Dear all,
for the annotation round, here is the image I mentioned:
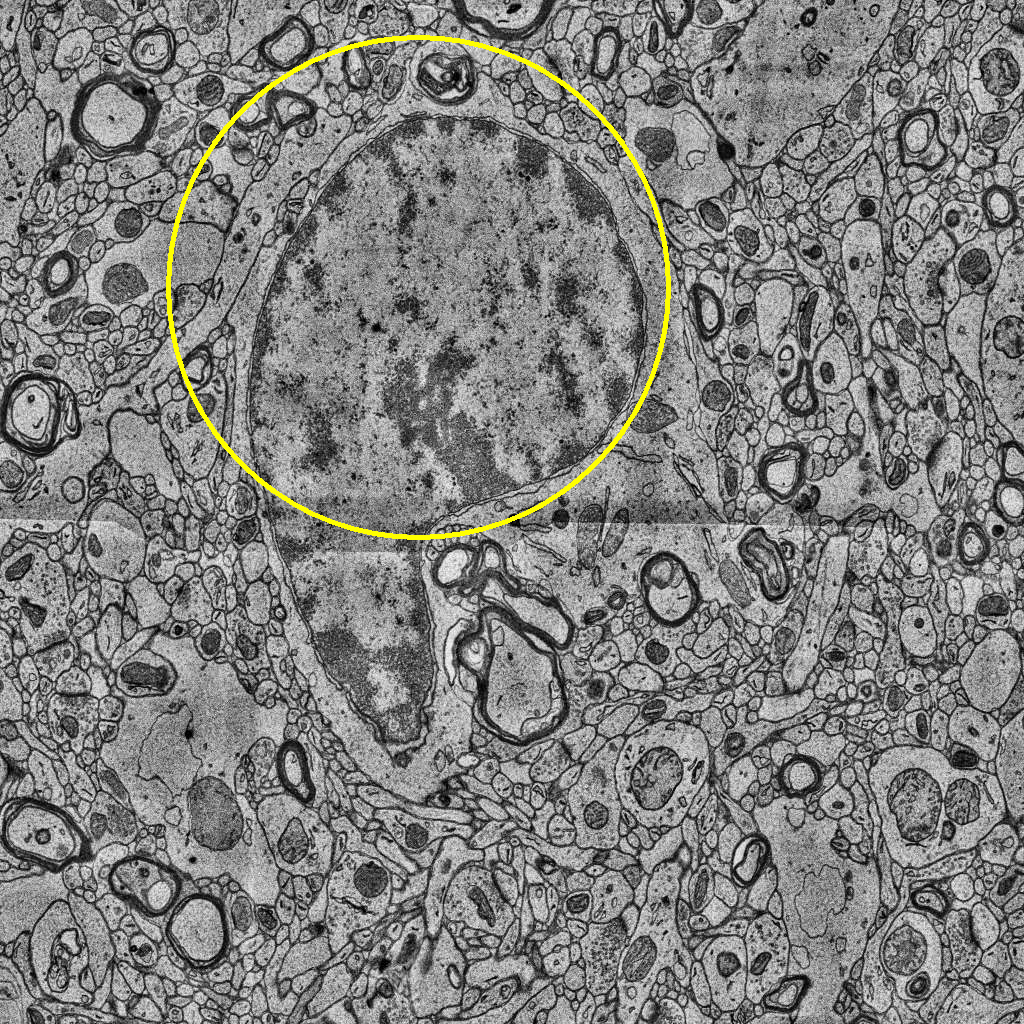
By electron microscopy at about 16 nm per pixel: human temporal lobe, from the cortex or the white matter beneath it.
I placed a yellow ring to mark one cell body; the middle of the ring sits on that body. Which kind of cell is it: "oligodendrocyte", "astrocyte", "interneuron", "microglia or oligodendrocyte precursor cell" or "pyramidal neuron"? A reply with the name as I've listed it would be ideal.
microglia or oligodendrocyte precursor cell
